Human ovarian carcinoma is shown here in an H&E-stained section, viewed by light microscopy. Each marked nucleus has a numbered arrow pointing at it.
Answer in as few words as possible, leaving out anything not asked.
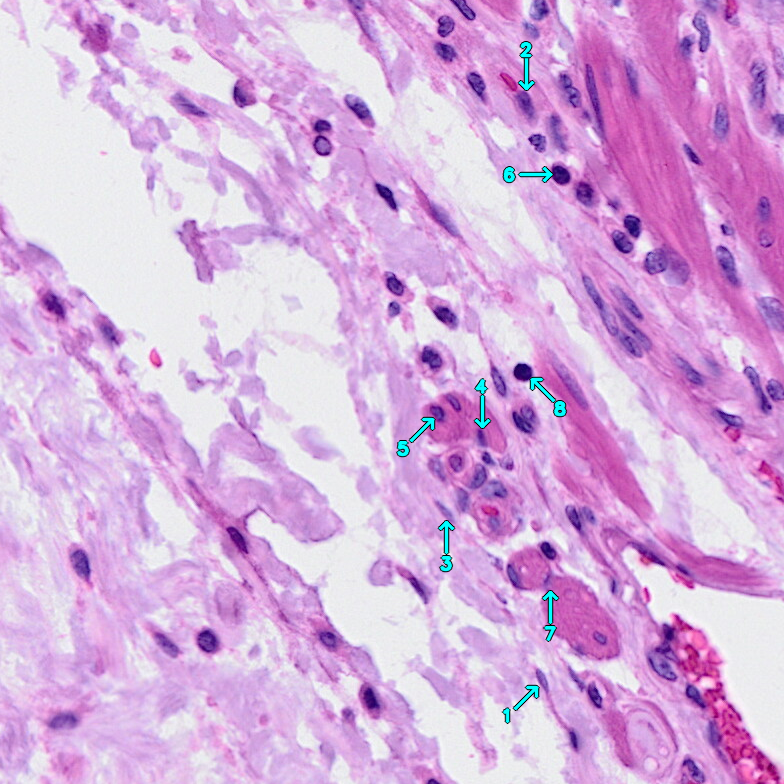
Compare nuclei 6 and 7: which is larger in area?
6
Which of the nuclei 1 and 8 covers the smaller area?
1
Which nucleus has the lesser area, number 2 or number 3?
3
